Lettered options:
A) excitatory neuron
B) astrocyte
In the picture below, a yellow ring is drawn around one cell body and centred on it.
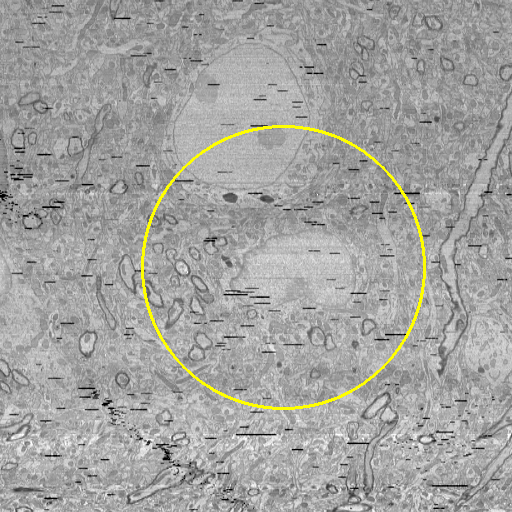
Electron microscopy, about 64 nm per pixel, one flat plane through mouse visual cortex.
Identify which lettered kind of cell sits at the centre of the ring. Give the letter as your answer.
B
